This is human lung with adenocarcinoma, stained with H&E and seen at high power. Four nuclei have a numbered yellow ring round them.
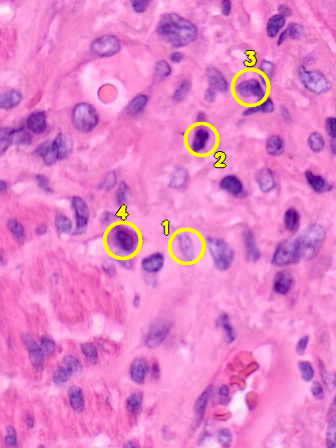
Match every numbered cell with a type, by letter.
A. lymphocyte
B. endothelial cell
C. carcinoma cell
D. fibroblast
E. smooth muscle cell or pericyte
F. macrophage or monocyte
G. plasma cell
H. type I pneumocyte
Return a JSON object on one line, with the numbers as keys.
{"1": "D", "2": "G", "3": "A", "4": "G"}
